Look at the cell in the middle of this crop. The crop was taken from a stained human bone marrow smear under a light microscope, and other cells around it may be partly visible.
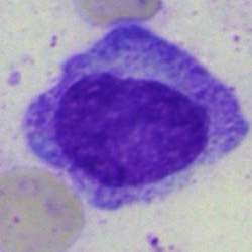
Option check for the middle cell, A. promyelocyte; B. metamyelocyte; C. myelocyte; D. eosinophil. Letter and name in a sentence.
The cell at the centre, correctly named in option A, is a promyelocyte.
